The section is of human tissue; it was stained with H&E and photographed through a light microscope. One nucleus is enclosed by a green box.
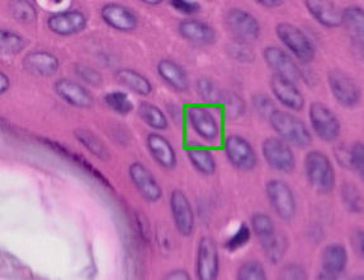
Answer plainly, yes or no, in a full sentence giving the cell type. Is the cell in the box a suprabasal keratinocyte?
Yes, the identity of the cell in the box is that of a suprabasal keratinocyte.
